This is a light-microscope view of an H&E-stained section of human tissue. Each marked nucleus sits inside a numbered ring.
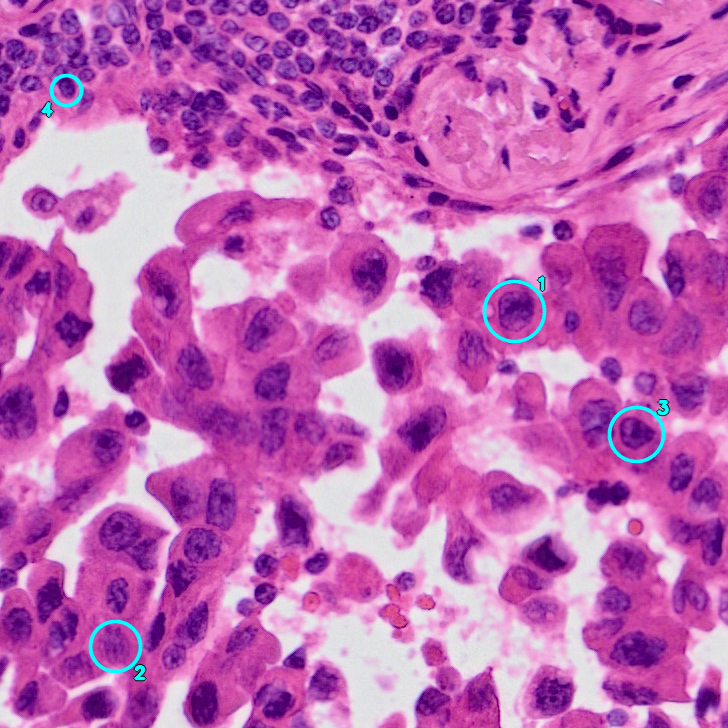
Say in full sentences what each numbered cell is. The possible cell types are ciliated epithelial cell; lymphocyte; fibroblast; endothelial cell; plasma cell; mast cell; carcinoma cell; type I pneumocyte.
Cells 1, 2 and 3 are carcinoma cells. Cell 4 is a lymphocyte.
